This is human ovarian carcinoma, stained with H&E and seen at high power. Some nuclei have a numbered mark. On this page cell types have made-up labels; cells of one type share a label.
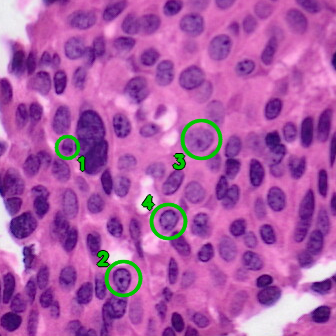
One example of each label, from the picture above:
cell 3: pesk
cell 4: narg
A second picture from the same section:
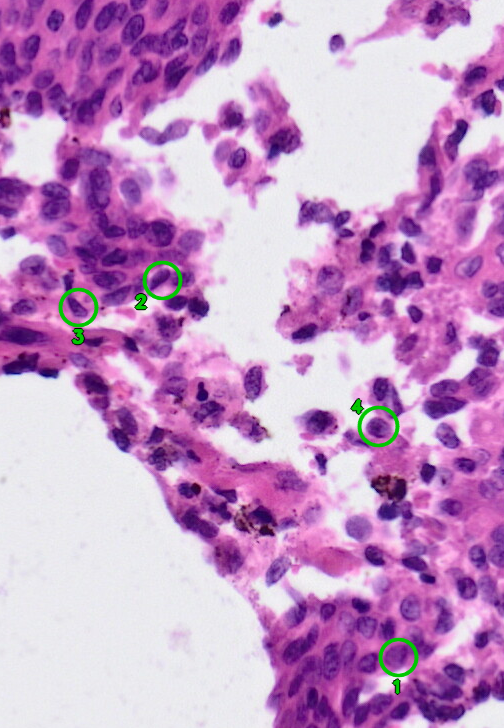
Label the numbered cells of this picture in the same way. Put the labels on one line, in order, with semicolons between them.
pesk; pesk; narg; pesk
